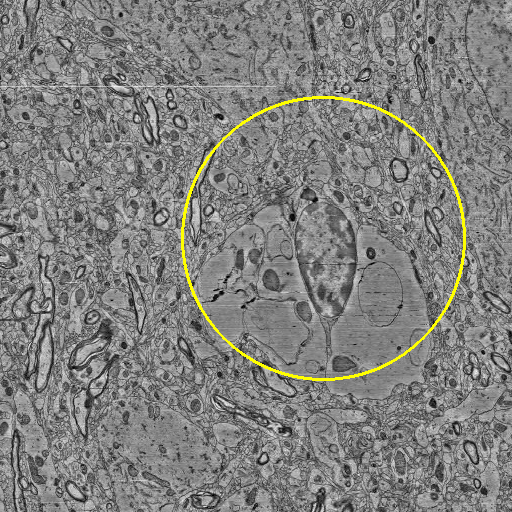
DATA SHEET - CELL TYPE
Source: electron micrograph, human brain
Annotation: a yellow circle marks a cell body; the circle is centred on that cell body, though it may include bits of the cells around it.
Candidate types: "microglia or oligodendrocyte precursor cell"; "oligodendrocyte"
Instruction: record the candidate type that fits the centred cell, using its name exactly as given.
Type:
microglia or oligodendrocyte precursor cell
